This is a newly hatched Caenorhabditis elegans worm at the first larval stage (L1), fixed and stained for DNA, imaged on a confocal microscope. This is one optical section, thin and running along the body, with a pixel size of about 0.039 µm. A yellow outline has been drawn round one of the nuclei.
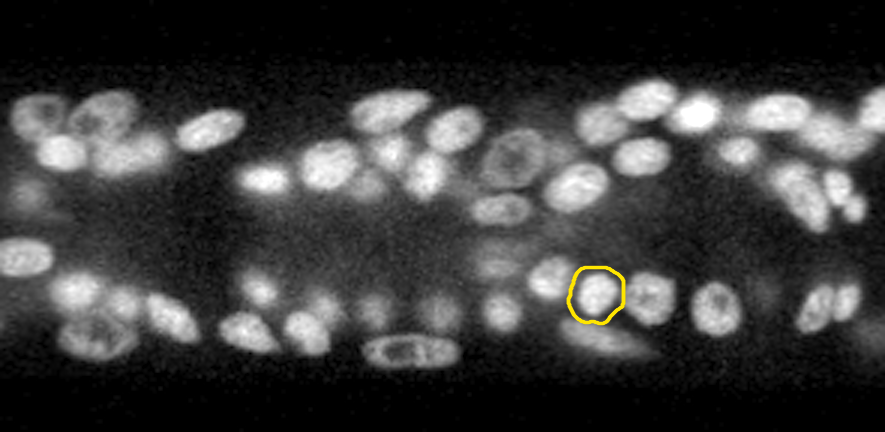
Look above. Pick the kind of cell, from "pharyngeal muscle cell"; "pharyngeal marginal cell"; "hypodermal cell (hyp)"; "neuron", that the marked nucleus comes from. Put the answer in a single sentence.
It belongs to a neuron.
